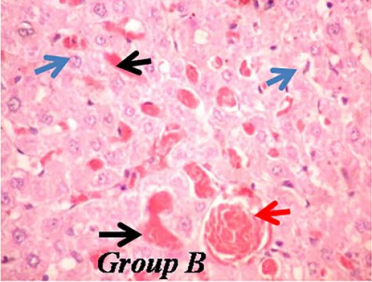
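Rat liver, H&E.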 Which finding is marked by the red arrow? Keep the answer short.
Congestion of central vein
